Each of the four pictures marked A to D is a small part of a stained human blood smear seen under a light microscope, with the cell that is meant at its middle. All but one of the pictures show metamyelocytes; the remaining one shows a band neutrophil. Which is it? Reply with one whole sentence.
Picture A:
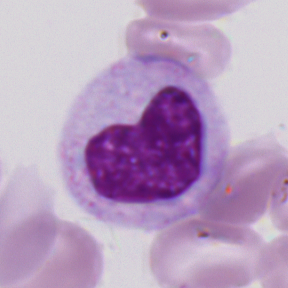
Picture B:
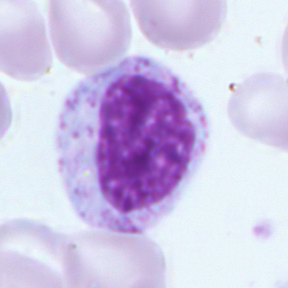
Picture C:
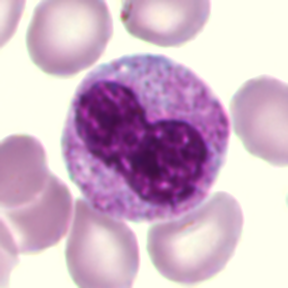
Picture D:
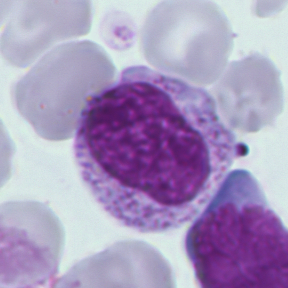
The picture with the band neutrophil is C.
